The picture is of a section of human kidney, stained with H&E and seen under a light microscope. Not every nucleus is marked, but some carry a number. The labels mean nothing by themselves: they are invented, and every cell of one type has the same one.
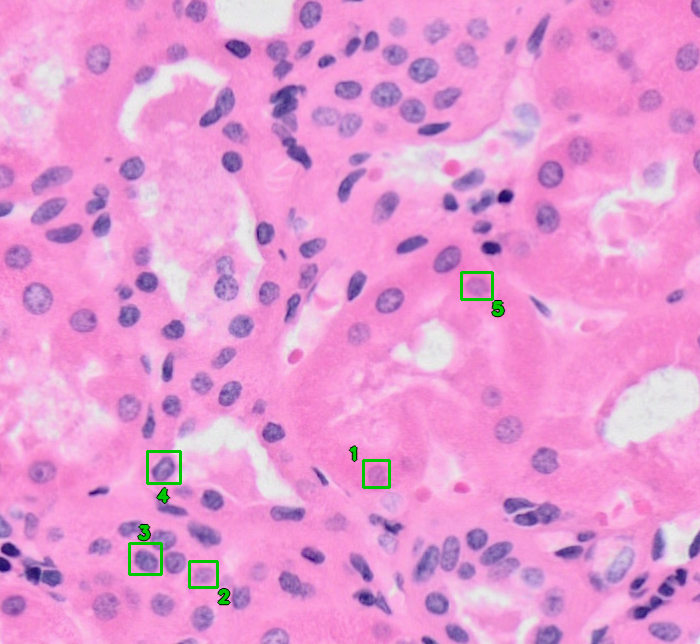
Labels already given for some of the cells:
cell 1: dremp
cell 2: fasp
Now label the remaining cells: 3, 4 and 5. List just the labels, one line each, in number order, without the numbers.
fasp
fasp
dremp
